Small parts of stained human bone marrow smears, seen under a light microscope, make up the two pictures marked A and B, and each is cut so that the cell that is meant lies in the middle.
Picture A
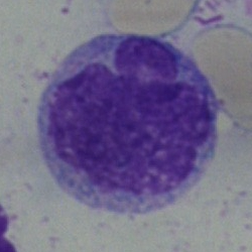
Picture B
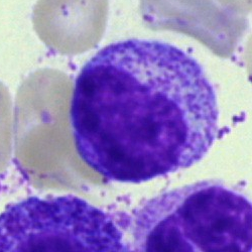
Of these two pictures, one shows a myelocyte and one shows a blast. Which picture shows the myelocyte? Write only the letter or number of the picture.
B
